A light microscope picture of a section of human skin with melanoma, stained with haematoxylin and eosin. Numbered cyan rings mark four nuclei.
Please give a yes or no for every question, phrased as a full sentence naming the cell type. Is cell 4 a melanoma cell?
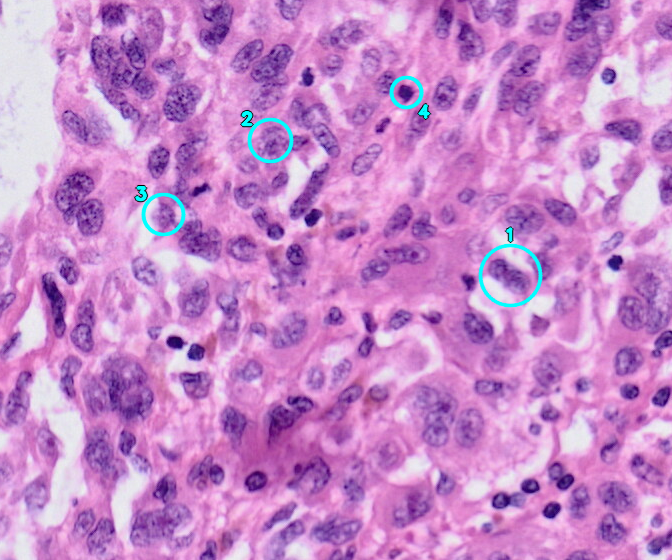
No, in terms of cell type, cell 4 is a lymphocyte, not a melanoma cell.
